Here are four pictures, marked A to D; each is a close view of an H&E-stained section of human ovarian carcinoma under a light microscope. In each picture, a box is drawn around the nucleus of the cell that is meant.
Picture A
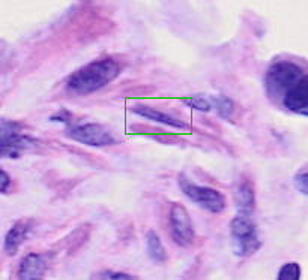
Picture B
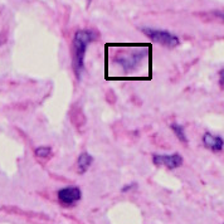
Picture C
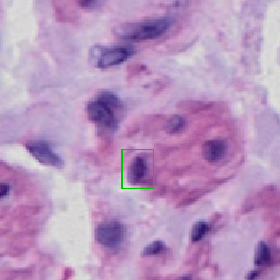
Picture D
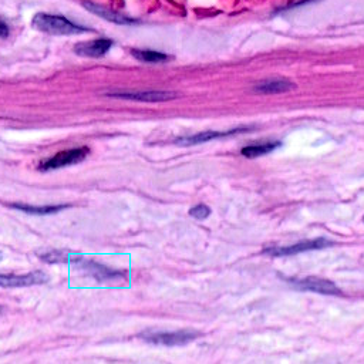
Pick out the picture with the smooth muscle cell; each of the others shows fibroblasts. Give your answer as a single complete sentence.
It is picture C that shows the smooth muscle cell.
